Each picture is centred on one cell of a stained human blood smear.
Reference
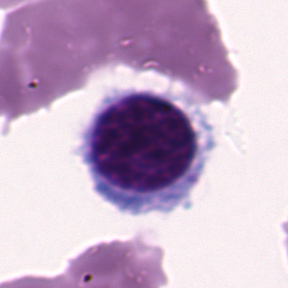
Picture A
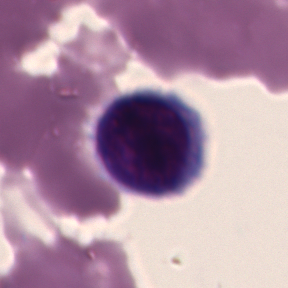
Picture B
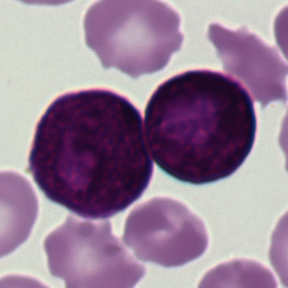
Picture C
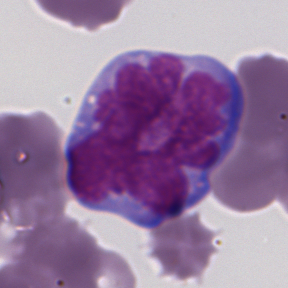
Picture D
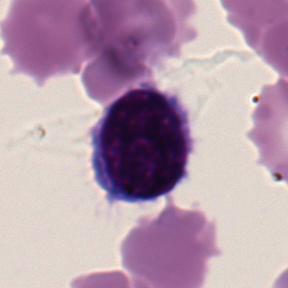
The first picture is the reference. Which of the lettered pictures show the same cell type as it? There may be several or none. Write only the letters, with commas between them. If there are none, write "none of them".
A, D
